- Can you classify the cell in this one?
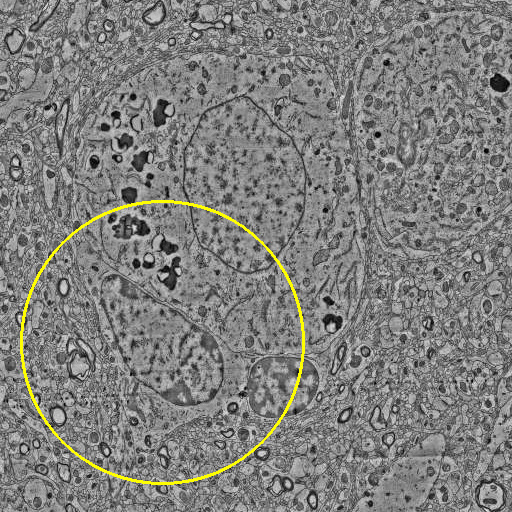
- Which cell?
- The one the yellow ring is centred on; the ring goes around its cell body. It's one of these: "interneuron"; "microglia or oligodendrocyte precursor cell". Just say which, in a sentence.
The cell body in the ring belongs to a microglial cell or oligodendrocyte precursor cell.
